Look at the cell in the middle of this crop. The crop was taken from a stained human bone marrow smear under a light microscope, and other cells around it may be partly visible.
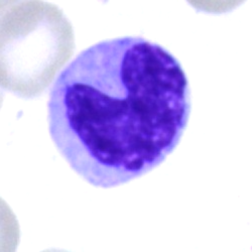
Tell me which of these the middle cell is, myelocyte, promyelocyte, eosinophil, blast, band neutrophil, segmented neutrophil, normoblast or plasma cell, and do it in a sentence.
Positioned in the middle of the crop is a band neutrophil.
